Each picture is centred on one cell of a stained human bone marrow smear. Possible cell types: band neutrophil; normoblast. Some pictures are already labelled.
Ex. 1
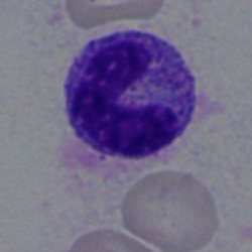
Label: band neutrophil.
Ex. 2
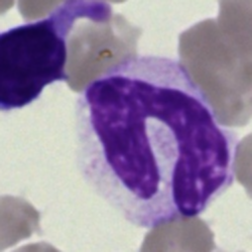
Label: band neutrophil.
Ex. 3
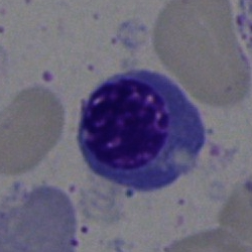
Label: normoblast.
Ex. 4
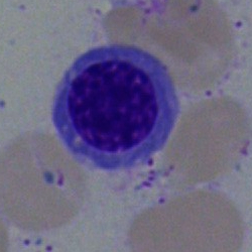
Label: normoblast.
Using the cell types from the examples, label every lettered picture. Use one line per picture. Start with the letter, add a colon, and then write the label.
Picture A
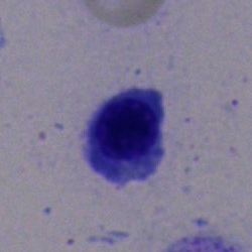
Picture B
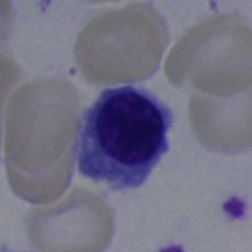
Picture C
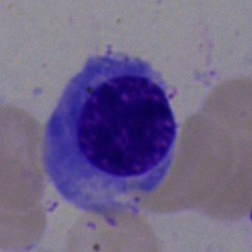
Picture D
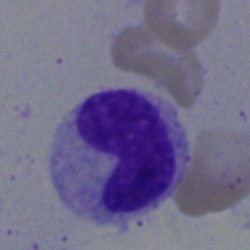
A: normoblast.
B: normoblast.
C: normoblast.
D: band neutrophil.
